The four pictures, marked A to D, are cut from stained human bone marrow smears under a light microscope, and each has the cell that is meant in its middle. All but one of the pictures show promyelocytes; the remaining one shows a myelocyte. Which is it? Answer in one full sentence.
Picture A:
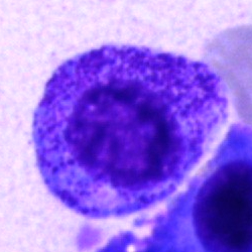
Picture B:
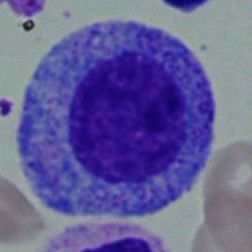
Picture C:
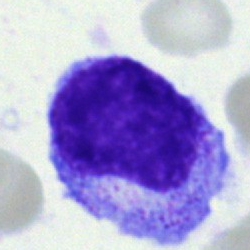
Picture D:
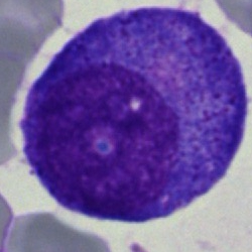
Picture C is the one that shows the myelocyte.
